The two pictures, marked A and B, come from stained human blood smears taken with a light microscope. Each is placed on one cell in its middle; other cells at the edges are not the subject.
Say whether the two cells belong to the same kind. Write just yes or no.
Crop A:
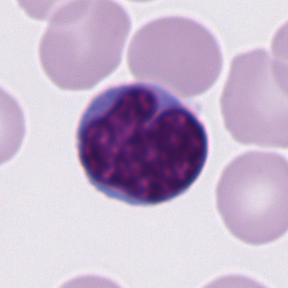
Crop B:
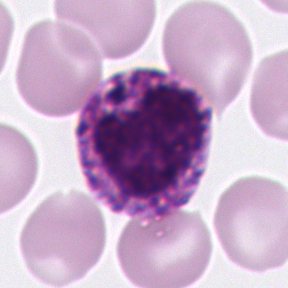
no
